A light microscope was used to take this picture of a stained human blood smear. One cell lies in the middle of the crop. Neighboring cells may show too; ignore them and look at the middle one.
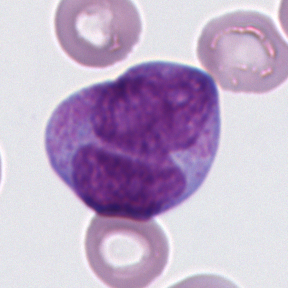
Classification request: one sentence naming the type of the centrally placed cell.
The cell shown in the center of this light-microscope crop is an atypical promyelocyte.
